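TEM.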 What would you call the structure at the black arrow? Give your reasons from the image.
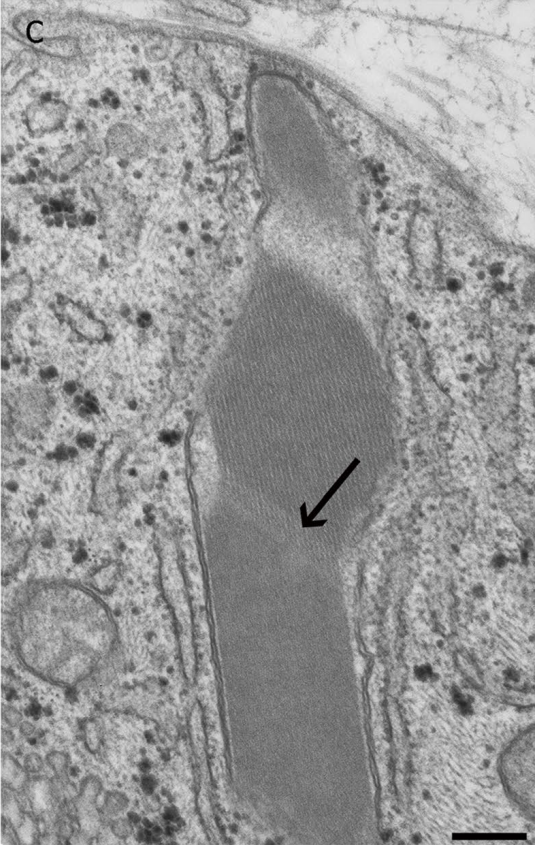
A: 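The arrow points to a paler band between two dense parts of an elongated body. Fine parallel striations run across the dense body.
A less dense striated zone.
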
